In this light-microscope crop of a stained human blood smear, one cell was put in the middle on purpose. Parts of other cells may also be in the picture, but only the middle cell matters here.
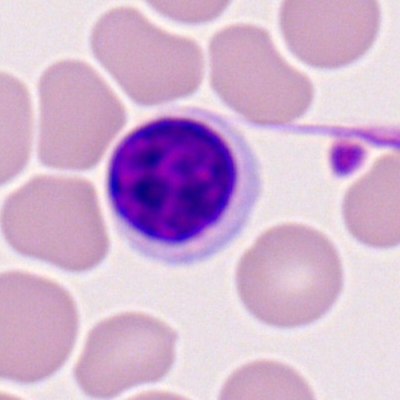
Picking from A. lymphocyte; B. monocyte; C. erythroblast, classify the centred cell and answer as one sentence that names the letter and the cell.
Option A is right, the centrally situated cell being a lymphocyte.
